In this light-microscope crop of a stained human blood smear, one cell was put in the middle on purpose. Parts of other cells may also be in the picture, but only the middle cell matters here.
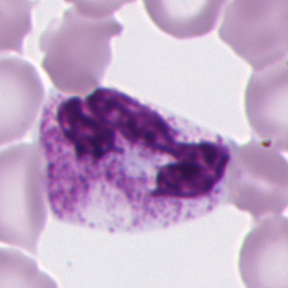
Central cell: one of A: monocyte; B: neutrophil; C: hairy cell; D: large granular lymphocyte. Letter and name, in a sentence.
Option B is correct here, and the cell in the middle is a neutrophil.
